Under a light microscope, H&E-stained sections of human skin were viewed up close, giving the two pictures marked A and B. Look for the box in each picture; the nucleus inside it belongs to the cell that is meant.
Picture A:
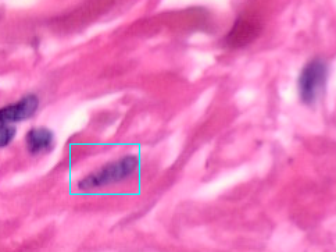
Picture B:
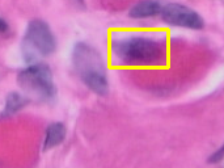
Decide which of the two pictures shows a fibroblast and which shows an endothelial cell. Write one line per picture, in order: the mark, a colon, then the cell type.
A: fibroblast
B: endothelial cell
